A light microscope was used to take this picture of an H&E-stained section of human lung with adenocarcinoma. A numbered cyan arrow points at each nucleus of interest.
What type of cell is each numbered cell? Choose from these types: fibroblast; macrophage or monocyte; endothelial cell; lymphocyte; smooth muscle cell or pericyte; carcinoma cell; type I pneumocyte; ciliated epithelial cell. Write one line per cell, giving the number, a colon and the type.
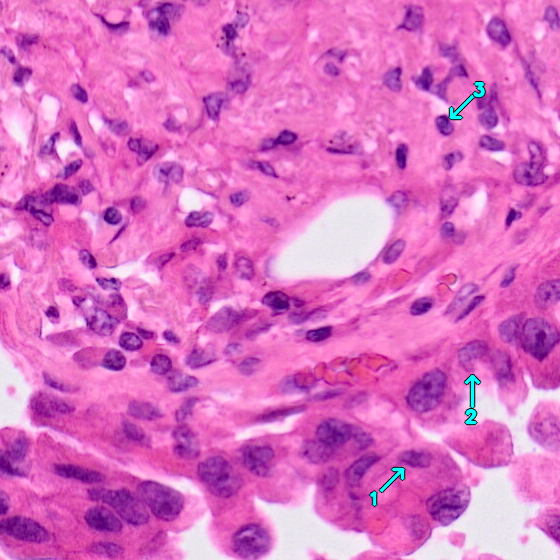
1: carcinoma cell
2: carcinoma cell
3: lymphocyte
